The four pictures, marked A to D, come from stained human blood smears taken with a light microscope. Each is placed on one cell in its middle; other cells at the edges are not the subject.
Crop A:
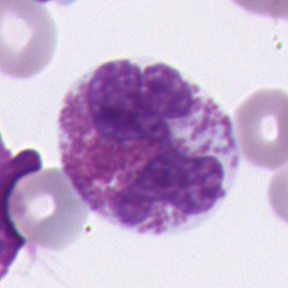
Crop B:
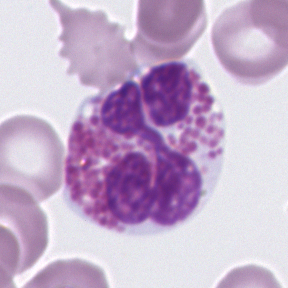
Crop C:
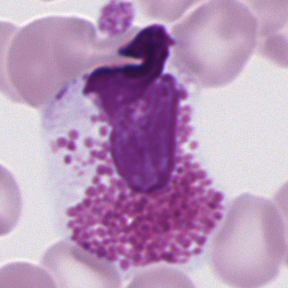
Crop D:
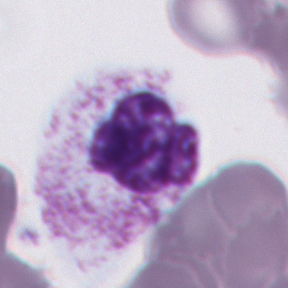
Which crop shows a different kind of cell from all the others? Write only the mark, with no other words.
D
